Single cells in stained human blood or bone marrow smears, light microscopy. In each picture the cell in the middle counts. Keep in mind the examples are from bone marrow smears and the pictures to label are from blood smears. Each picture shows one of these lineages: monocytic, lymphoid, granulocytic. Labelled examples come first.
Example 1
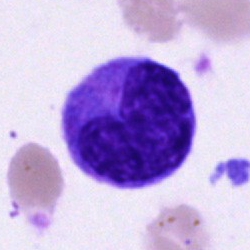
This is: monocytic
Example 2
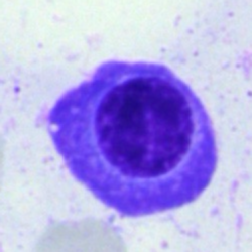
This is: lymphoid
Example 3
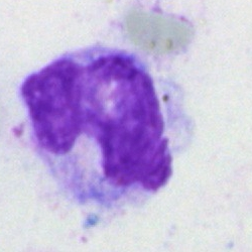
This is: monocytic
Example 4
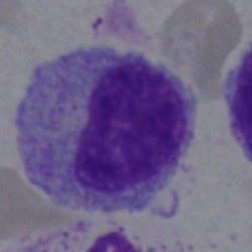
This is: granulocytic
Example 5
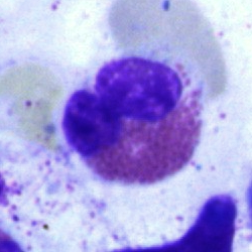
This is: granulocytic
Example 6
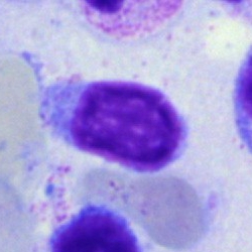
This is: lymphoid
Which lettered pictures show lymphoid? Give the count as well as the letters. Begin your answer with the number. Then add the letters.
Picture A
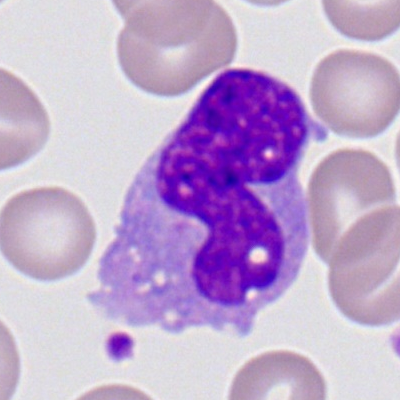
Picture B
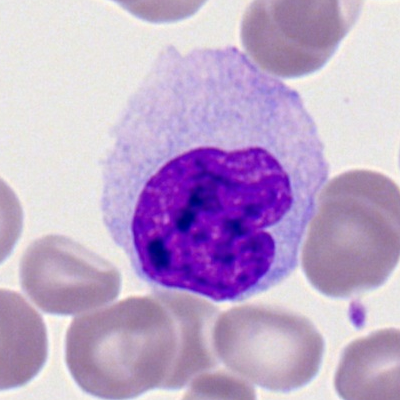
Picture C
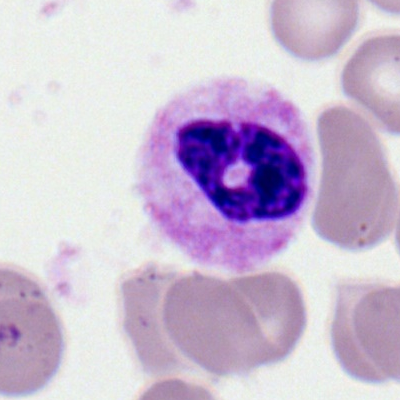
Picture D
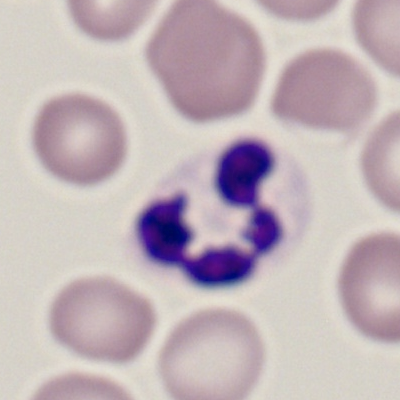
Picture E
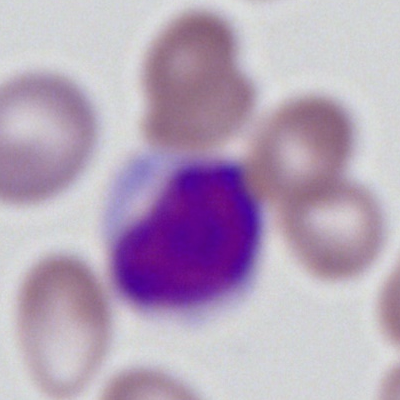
1, namely E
